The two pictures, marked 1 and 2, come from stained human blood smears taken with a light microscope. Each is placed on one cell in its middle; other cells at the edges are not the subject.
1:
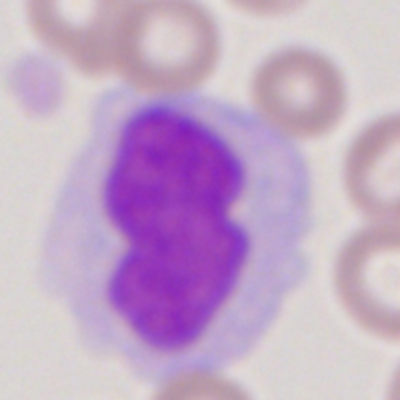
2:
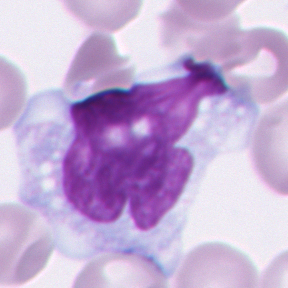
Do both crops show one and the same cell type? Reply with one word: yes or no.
yes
